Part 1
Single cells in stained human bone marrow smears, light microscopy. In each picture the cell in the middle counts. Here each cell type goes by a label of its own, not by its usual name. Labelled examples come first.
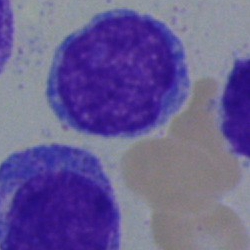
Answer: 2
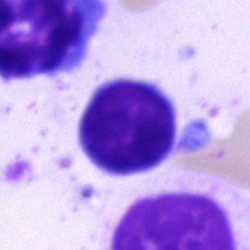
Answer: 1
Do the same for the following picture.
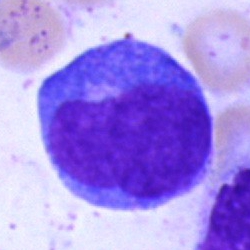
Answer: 2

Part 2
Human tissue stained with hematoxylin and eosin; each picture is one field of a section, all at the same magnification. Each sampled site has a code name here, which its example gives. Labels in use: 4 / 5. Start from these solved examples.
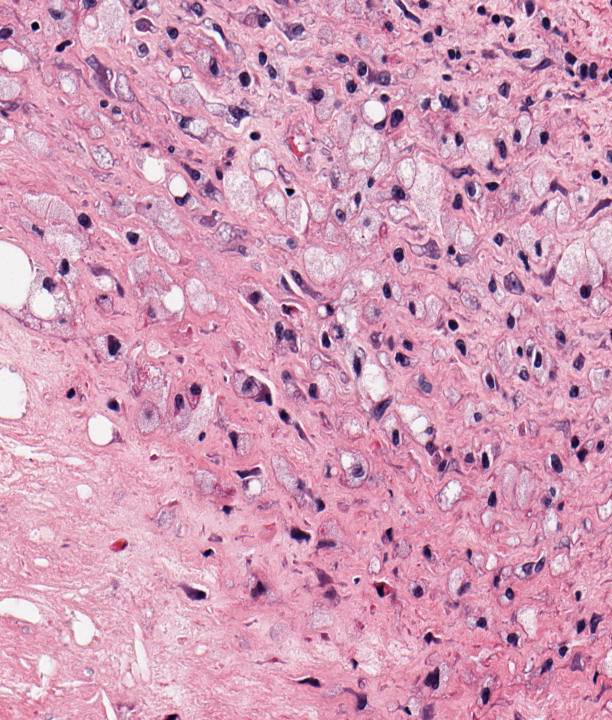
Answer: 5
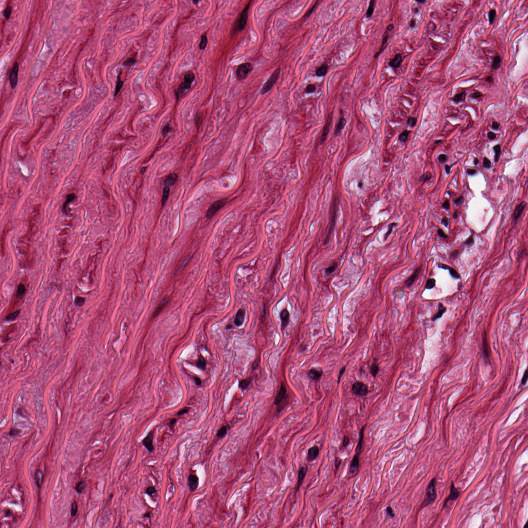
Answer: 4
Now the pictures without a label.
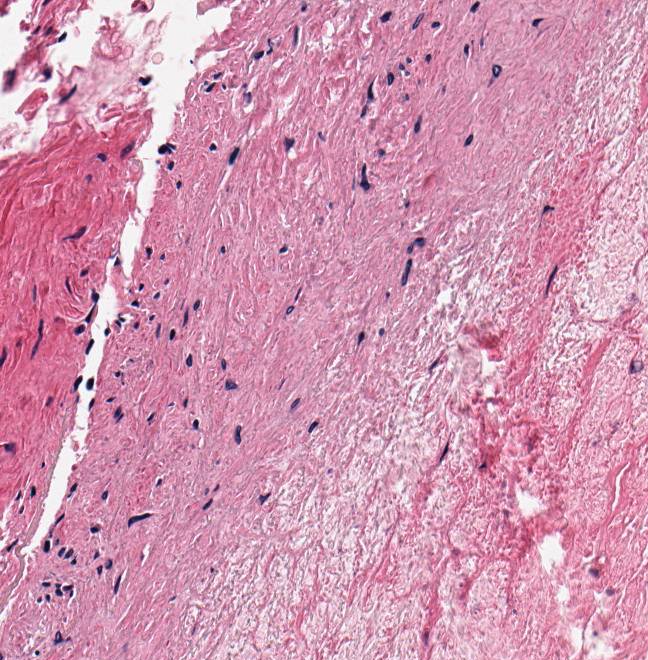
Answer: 5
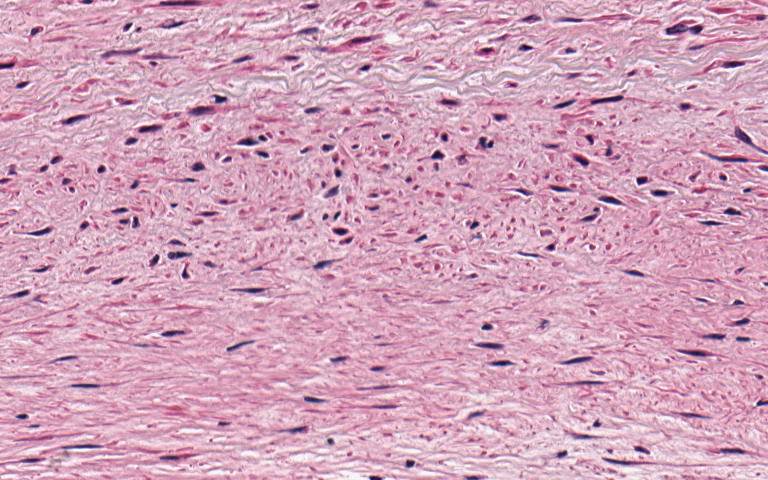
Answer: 5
